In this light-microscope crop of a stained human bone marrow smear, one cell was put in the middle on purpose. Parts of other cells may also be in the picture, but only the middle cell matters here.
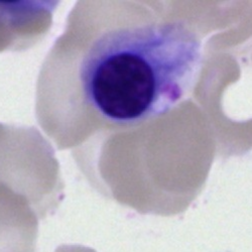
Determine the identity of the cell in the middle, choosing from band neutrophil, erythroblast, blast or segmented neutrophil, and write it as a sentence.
Here the centrally located cell is an erythroblast.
